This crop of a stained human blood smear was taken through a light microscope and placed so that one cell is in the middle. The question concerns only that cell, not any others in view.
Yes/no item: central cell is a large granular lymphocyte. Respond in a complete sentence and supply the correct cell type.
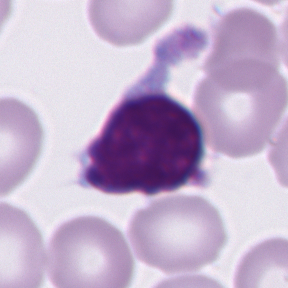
No, the middle of this crop is occupied by a typical lymphocyte rather than a large granular lymphocyte.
